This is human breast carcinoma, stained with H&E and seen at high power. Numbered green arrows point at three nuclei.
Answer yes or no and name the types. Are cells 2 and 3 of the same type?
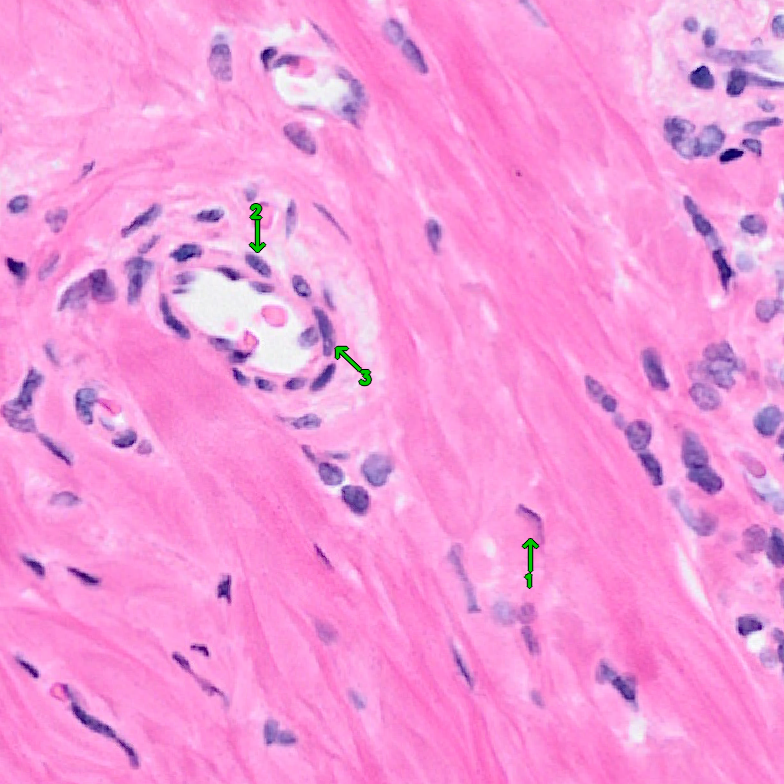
Yes, both are endothelial cells.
